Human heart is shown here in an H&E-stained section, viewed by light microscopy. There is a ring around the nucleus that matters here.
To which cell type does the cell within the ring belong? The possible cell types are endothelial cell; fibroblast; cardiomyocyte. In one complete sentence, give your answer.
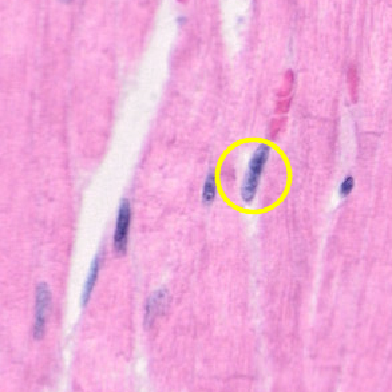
In the tissue at hand, the cell within the ring is a fibroblast.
